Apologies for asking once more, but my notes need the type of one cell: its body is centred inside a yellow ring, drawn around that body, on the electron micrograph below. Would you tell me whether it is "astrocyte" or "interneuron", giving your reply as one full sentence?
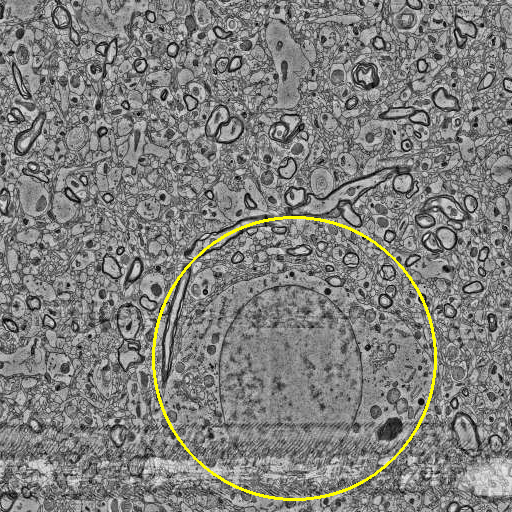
The cell that the yellow ring is centred on is an interneuron in this micrograph.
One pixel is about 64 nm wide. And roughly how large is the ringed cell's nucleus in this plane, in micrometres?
Roughly 12 by 10 micrometres is the size of the nucleus in this plane.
